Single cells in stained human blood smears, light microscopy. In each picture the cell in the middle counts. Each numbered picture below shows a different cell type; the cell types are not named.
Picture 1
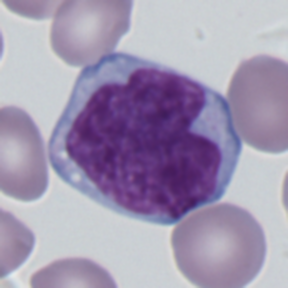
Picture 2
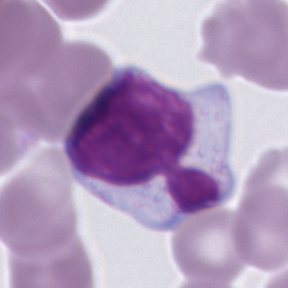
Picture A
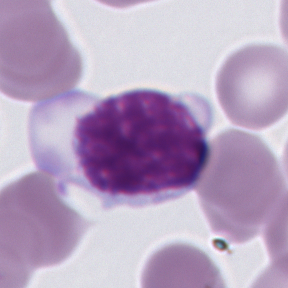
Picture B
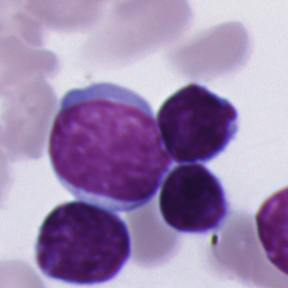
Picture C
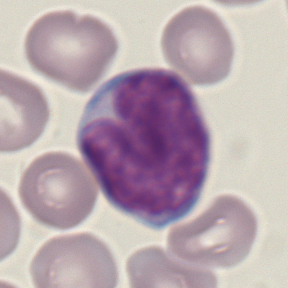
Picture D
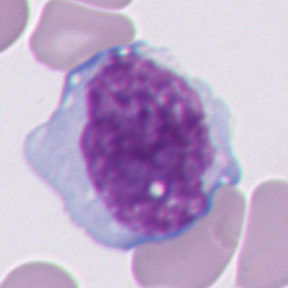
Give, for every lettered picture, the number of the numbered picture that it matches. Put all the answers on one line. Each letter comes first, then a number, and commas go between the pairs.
A 2, B 1, C 1, D 1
